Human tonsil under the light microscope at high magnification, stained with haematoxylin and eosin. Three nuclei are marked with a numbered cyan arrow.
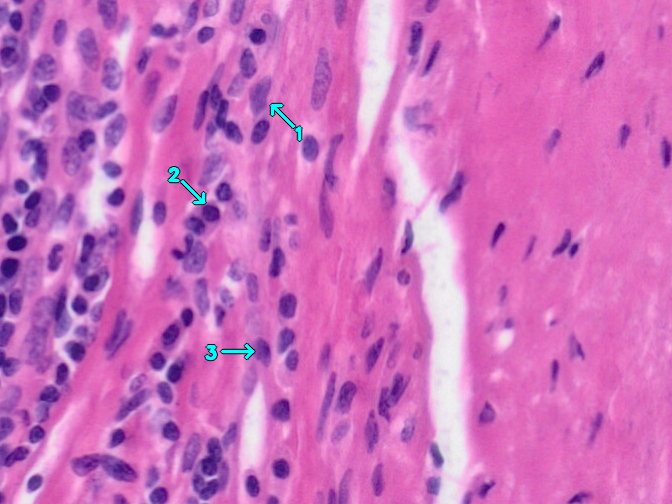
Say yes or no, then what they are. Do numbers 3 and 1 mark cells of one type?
Yes, note that cells 3 and 1 are both endothelial cells.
